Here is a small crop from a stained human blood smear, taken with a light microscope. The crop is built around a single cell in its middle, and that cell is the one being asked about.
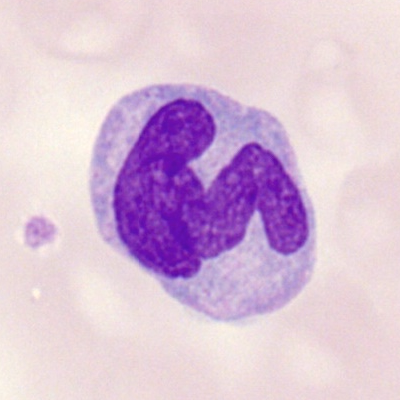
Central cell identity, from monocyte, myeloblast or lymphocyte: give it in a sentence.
The cell at the middle of the crop is recognized as a monocyte.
